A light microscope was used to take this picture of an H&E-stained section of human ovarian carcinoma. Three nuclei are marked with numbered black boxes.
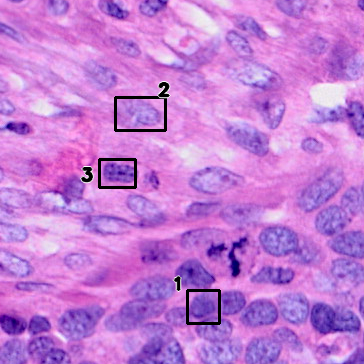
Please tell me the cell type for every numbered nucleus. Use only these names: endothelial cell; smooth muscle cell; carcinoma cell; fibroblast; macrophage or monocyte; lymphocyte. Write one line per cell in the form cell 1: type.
cell 1: carcinoma cell
cell 2: fibroblast
cell 3: macrophage or monocyte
